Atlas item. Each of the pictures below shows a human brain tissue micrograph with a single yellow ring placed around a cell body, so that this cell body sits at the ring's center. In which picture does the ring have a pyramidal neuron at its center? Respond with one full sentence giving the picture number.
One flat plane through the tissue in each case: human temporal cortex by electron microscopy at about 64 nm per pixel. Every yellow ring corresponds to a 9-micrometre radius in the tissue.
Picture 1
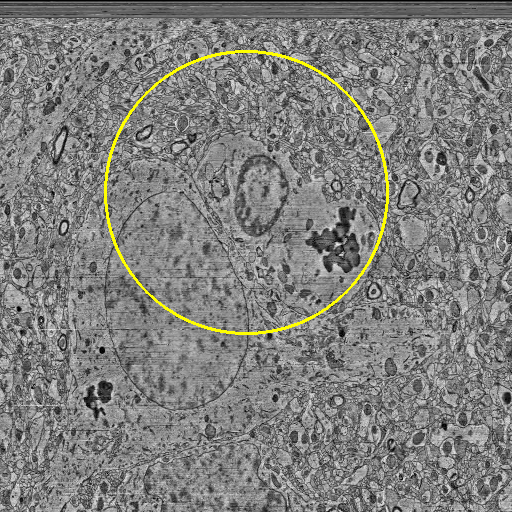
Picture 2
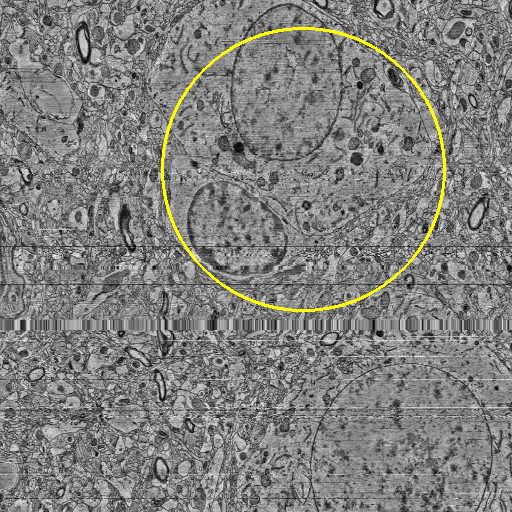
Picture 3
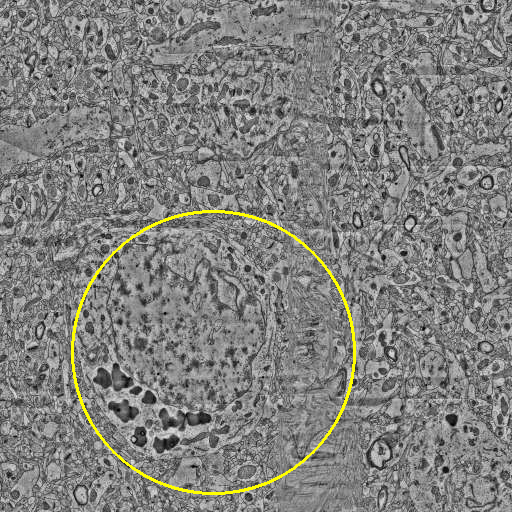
The cell at the ring's center that fits lies in picture 2.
